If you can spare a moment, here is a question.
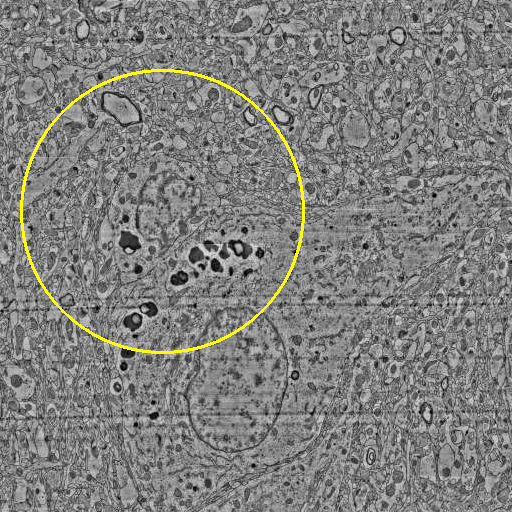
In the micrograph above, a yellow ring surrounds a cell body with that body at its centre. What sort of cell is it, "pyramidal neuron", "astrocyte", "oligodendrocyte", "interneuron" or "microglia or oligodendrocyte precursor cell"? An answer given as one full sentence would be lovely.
Centred inside the yellow ring, the cell body shown belongs to an interneuron in this micrograph.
